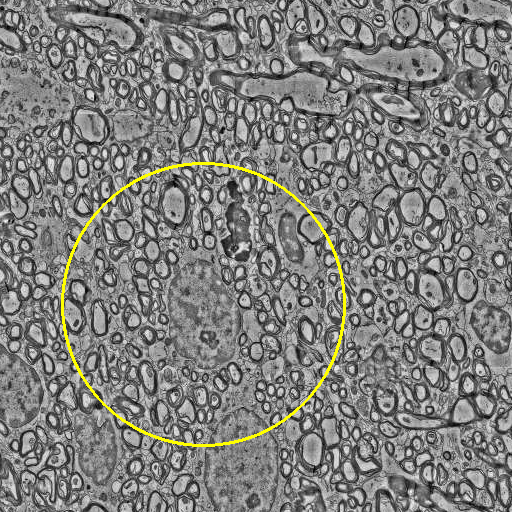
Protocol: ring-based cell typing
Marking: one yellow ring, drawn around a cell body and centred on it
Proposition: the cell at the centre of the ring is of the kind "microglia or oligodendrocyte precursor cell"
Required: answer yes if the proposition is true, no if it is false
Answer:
no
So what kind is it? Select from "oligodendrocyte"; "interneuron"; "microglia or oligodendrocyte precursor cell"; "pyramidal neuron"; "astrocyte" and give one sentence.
So the cell at the centre is an oligodendrocyte.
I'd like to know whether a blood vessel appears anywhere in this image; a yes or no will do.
No, there is no blood vessel.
